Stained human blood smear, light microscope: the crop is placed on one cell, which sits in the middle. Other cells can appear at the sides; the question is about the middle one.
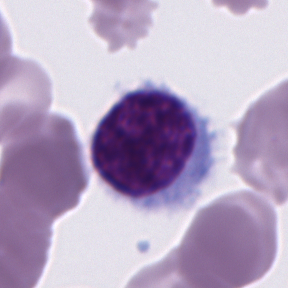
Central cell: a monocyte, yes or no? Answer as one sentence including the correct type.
No, the centre cell is not a monocyte but a hairy cell.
